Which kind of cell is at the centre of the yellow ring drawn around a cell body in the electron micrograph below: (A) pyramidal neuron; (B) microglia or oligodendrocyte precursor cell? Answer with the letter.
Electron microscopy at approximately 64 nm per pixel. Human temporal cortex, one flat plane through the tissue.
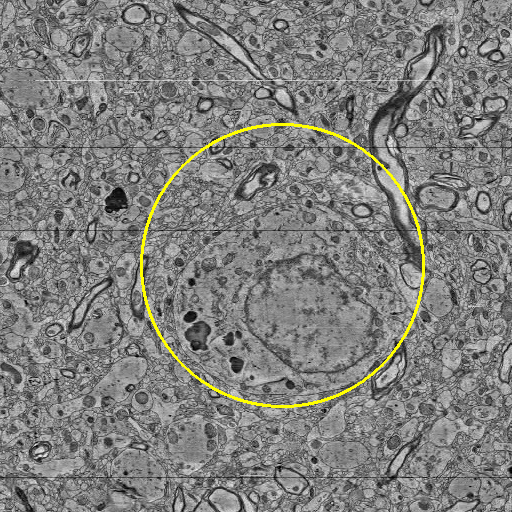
A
